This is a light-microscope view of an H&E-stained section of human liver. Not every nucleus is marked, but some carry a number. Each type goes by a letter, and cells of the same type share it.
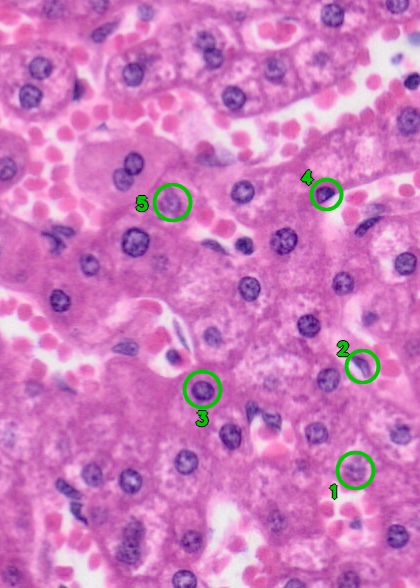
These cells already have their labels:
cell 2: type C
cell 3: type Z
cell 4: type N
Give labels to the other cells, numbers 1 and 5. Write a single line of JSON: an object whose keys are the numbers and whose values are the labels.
{"1": "type Z", "5": "type Z"}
